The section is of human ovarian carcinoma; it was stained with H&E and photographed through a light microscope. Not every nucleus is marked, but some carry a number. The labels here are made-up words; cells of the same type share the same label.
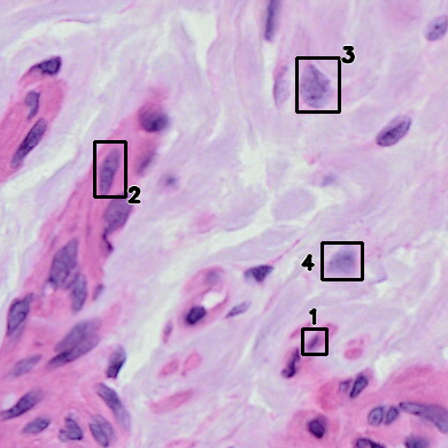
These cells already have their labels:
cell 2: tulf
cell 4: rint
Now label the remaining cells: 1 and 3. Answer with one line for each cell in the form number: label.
1: tulf
3: rint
